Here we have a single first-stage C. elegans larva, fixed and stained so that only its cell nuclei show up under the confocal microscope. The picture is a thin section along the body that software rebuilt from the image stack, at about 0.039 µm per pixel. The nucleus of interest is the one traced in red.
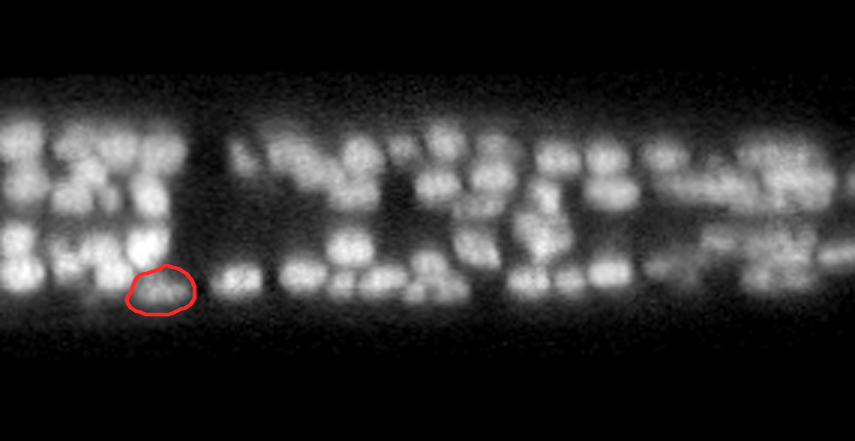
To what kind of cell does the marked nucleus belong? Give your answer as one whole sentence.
What is marked is the nucleus of a body wall muscle cell.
